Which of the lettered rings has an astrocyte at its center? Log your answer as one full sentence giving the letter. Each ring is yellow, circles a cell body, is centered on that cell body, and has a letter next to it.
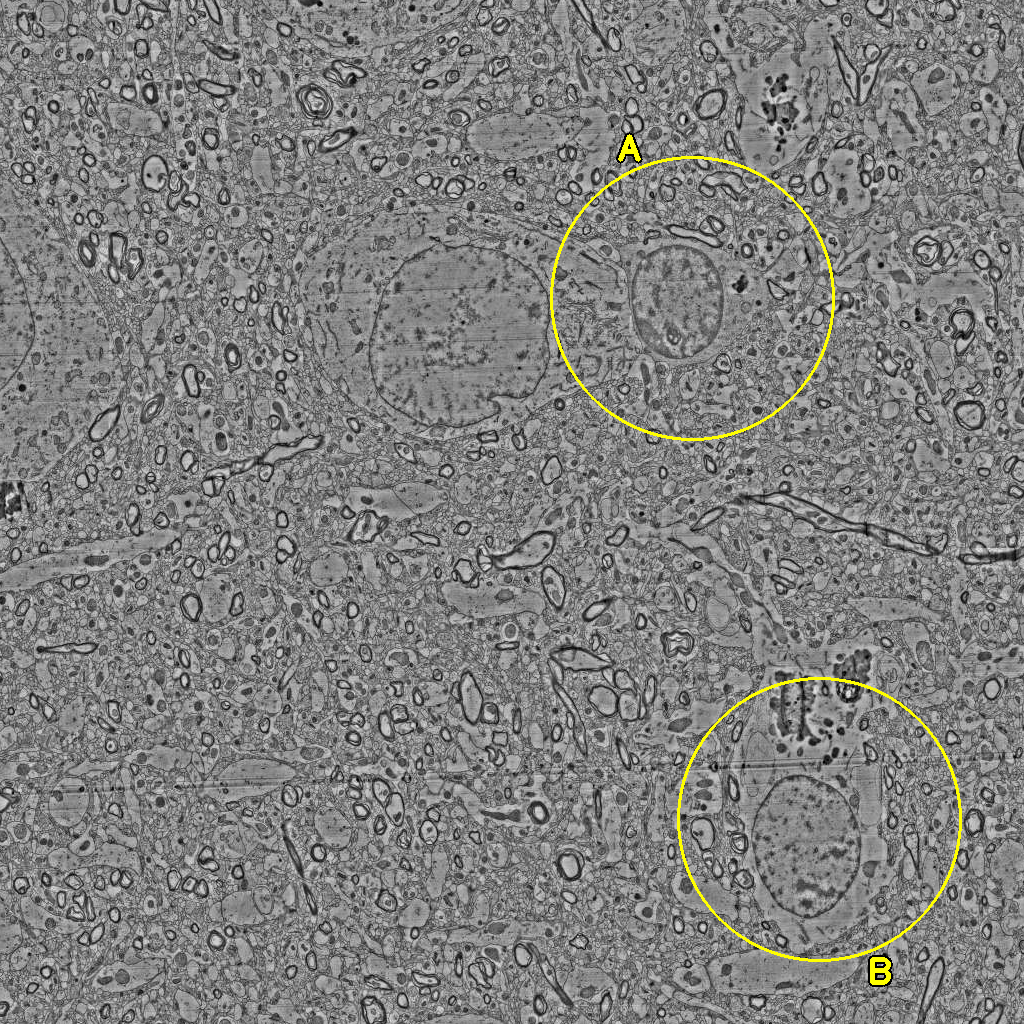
The lettered ring centered on the cell asked for is ring B.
